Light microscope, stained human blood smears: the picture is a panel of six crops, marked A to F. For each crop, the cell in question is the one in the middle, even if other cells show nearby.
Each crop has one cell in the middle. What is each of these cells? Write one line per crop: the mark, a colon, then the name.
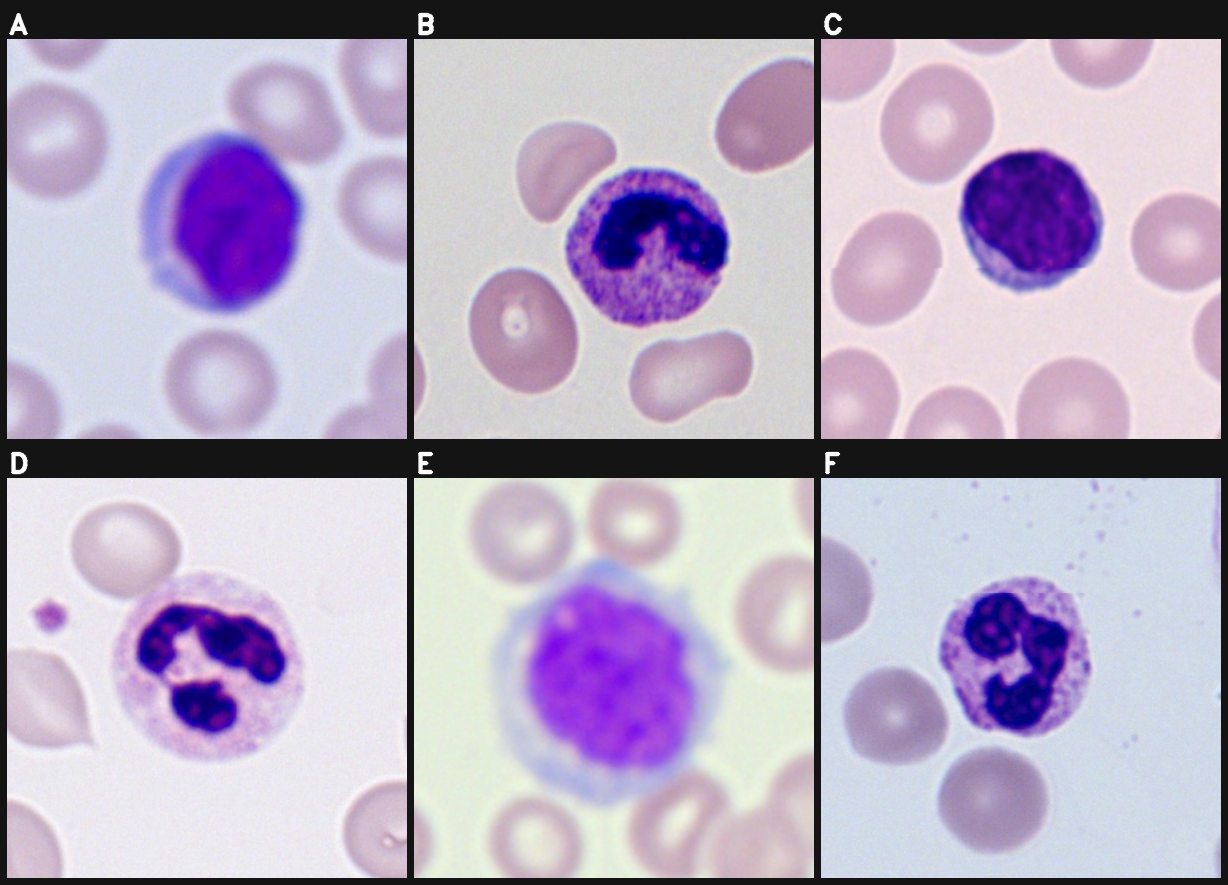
A: lymphocyte
B: neutrophil
C: lymphocyte
D: neutrophil
E: monocyte
F: neutrophil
